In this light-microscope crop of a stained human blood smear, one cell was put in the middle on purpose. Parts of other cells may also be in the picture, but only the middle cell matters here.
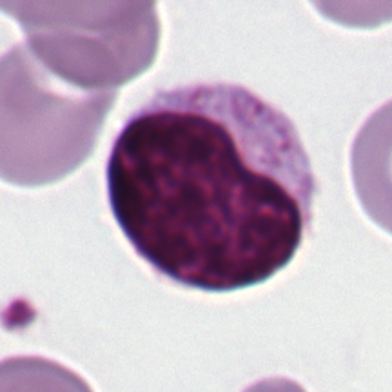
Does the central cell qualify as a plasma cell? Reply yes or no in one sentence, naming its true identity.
No, the centre cell counts as a large granular lymphocyte, not as a plasma cell.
